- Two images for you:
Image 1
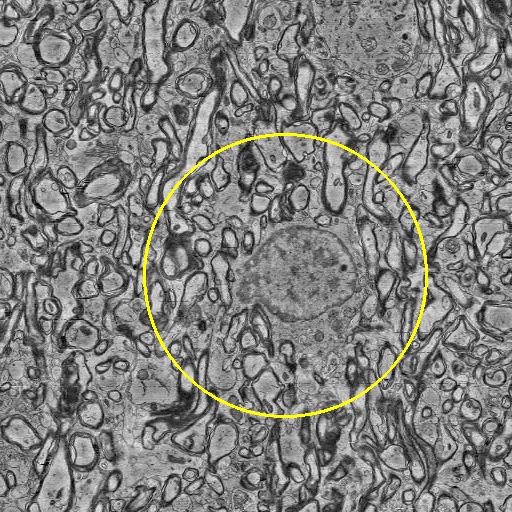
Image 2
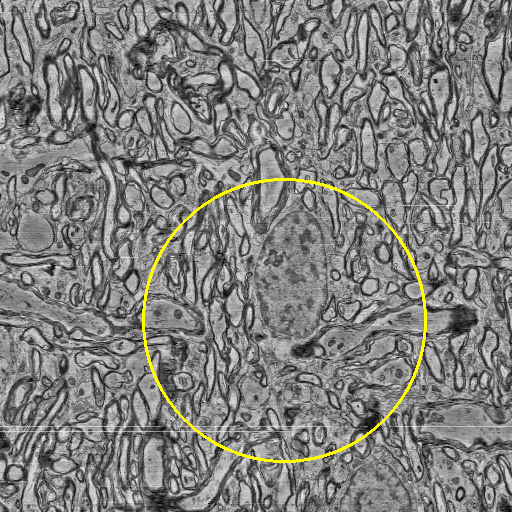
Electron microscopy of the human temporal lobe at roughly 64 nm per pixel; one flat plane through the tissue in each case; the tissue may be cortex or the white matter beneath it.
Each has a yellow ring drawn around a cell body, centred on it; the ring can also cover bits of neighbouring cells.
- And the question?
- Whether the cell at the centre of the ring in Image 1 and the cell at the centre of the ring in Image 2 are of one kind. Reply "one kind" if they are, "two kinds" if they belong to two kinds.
one kind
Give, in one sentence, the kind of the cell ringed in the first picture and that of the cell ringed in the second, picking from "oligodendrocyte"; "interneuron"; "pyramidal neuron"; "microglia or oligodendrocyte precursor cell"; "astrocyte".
Both pictures show an oligodendrocyte at the centre of the ring.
